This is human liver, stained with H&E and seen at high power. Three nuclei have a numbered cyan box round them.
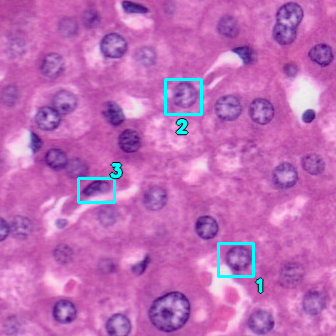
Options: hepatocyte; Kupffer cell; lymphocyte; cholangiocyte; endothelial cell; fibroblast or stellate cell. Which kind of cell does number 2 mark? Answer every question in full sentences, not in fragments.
It is as a hepatocyte that the cell numbered 2 is identified.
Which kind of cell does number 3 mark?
The cell given label 3 is a Kupffer cell.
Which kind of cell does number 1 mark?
The nucleus marked 1 is the nucleus of a hepatocyte.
